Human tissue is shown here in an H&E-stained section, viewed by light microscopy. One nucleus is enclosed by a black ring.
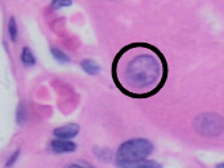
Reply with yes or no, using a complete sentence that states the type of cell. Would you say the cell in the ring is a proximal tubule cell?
Yes, the cell in the ring corresponds to a proximal tubule cell in this tissue.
